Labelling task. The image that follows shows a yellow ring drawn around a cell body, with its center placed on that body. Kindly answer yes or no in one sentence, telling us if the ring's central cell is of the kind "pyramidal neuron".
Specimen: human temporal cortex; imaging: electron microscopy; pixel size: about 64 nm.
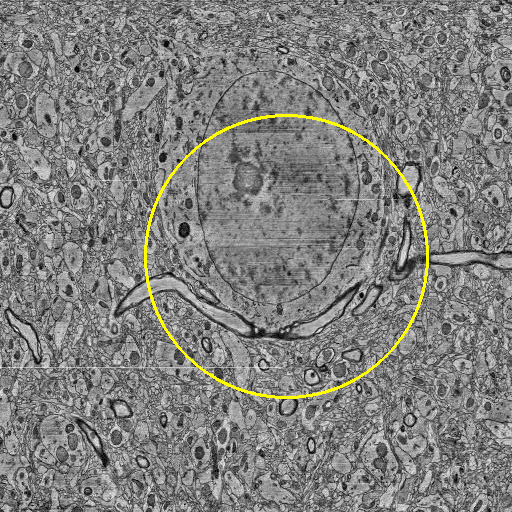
Yes, in this image the cell at the ring's center is of that kind.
